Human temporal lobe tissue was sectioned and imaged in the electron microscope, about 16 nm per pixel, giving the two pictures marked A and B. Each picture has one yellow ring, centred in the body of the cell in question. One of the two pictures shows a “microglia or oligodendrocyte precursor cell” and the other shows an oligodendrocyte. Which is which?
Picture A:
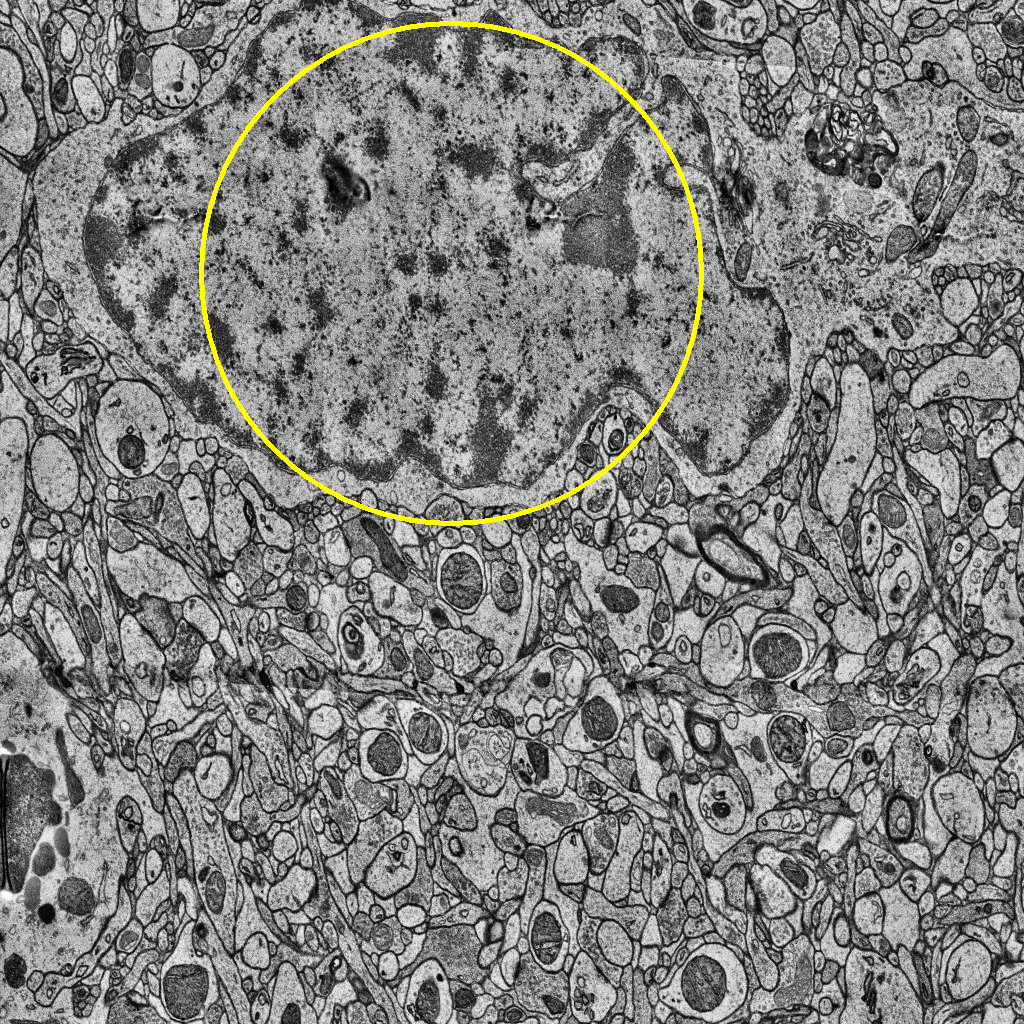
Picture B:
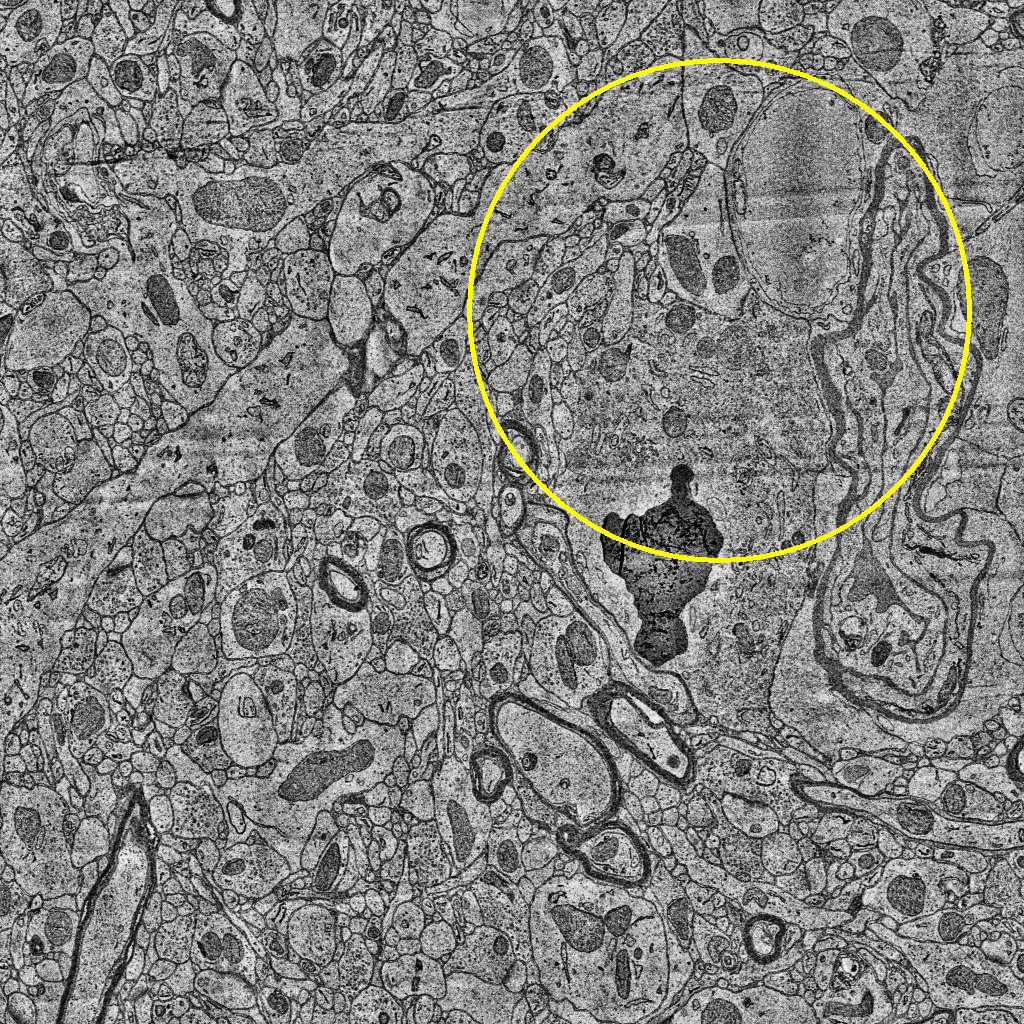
Picture A is of a “microglia or oligodendrocyte precursor cell”, and picture B is of an oligodendrocyte.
